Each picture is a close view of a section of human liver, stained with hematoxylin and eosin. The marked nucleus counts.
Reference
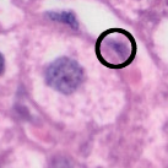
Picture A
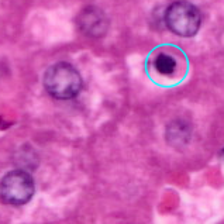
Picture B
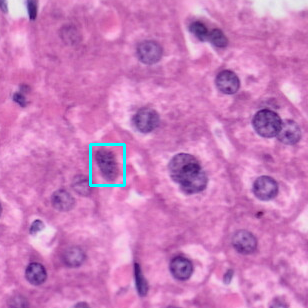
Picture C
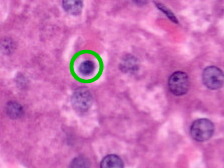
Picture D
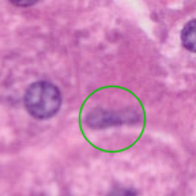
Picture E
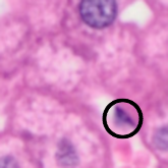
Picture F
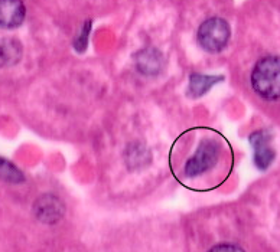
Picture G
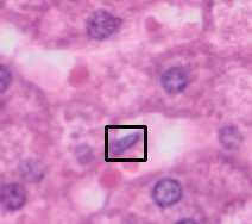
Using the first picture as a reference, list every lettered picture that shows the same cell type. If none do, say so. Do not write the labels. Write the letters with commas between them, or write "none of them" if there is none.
B, D, F, G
